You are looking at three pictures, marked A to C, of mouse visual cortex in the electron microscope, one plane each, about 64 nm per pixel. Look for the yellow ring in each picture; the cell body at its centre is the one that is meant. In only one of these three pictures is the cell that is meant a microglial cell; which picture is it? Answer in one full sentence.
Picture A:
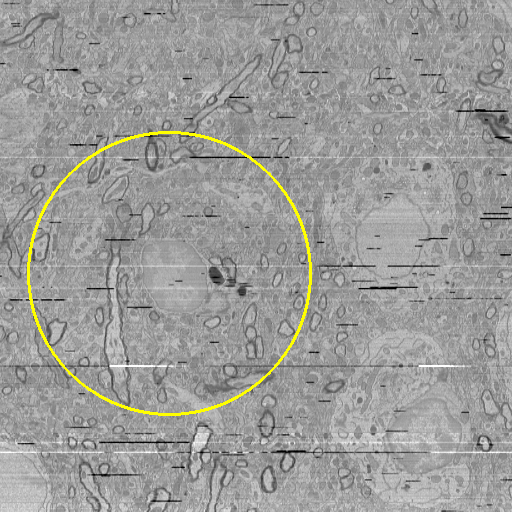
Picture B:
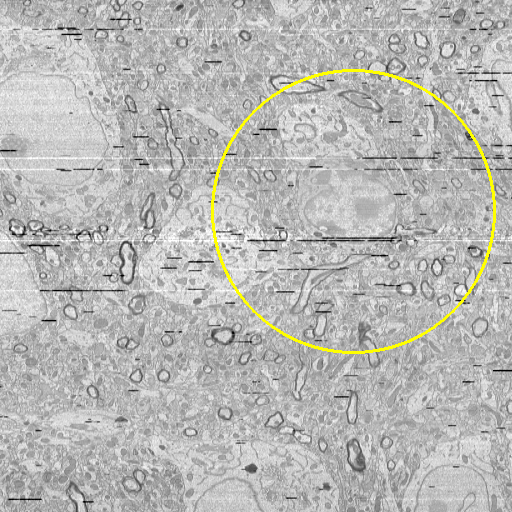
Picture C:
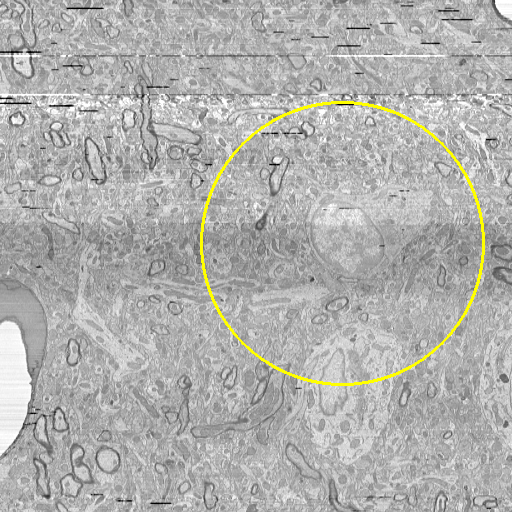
It is picture A that shows the microglial cell.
